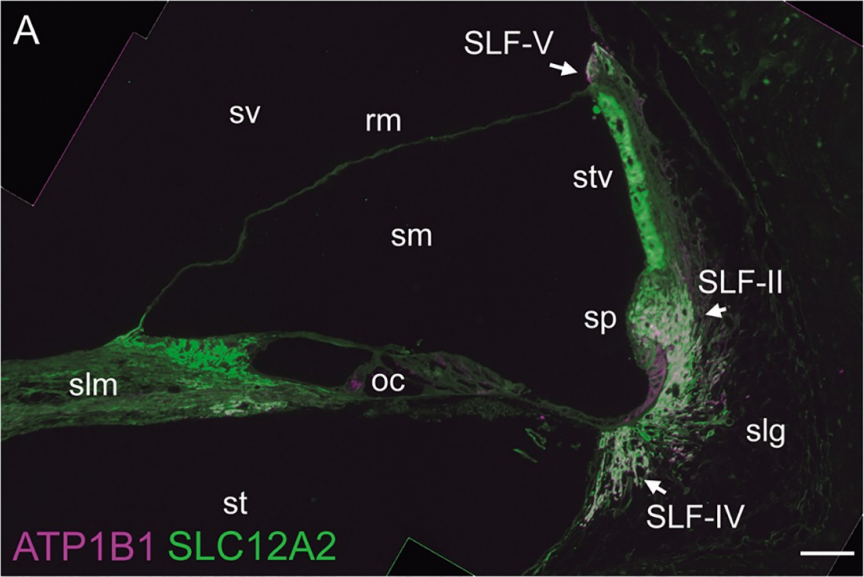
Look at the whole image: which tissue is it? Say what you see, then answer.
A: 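Three fluid-filled chambers are separated by a thin membrane and a cellular partition. A sensory organ sits on the basilar partition below the middle chamber. A thickened lateral wall with a bright band lines the middle chamber. On this evidence: cochlea.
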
